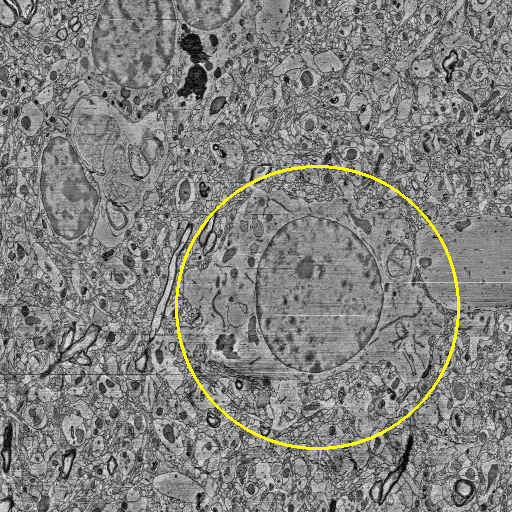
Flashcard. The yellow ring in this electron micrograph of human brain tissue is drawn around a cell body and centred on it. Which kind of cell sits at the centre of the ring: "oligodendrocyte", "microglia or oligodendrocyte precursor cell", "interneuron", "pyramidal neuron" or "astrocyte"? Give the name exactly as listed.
astrocyte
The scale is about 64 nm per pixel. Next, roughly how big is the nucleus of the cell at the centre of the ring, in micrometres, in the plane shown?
In this plane the nucleus measures roughly 10 by 8 micrometers.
